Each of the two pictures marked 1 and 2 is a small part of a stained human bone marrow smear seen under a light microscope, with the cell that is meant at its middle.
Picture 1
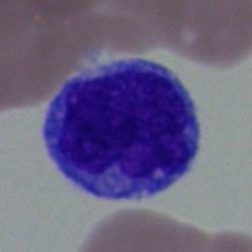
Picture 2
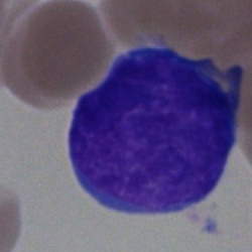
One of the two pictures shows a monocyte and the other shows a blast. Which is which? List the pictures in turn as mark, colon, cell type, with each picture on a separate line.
1: monocyte
2: blast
